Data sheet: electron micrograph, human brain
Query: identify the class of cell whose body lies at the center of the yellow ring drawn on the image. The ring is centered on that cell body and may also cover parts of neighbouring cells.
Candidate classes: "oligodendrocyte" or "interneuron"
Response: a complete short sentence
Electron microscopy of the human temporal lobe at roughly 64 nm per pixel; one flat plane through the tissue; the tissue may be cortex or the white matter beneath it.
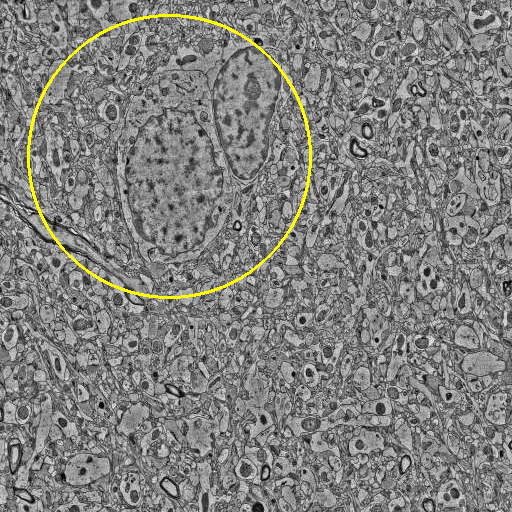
At the center of the ring lies an interneuron.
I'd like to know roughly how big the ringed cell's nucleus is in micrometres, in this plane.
The nucleus is about 9 micrometres in length and 6 in width, clearly longer than it is wide in this plane.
